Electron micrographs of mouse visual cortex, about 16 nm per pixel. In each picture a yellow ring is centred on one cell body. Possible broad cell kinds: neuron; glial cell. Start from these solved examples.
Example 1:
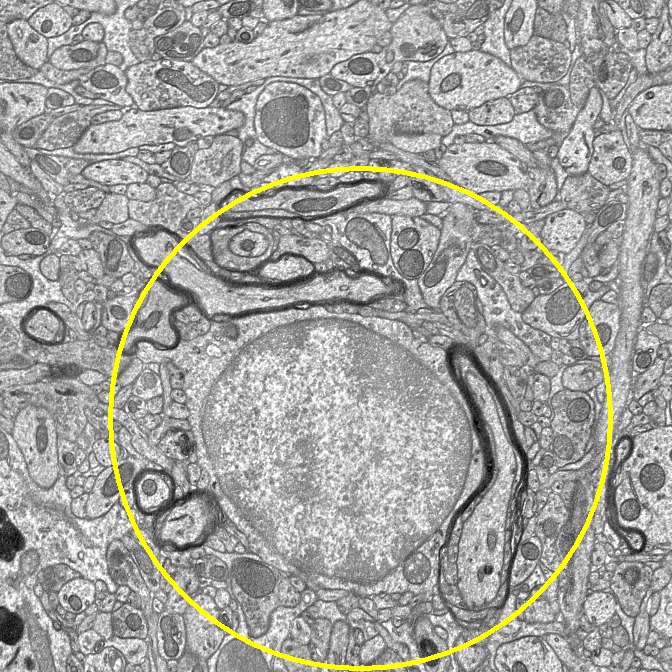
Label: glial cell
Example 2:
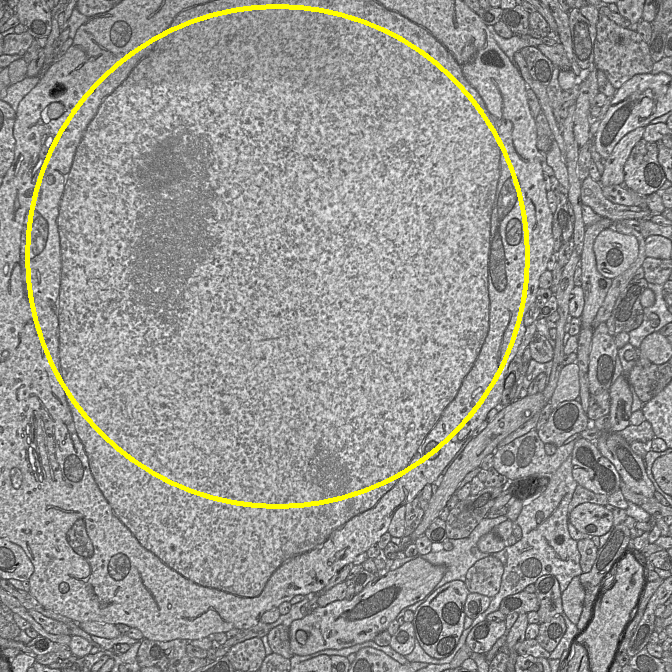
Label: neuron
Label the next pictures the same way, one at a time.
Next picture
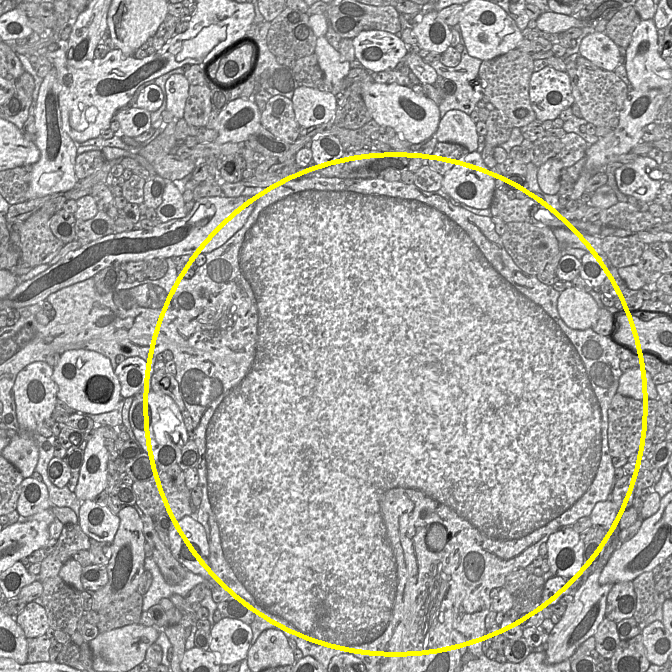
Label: glial cell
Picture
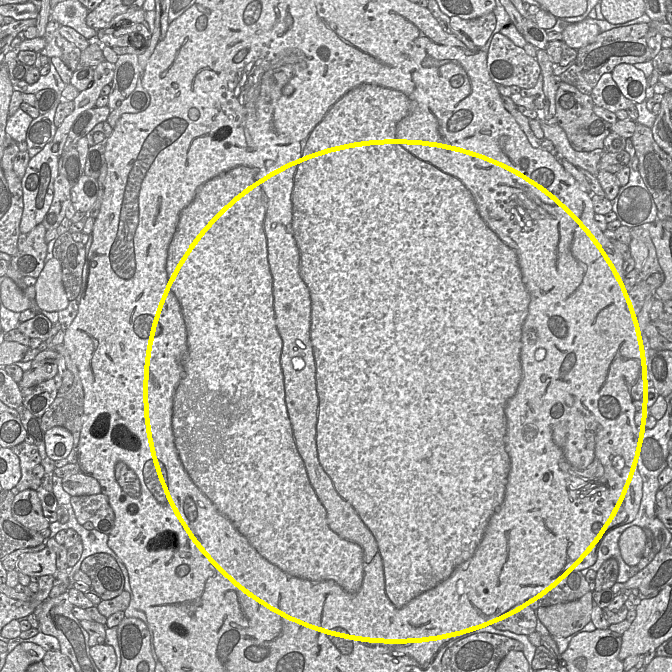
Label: neuron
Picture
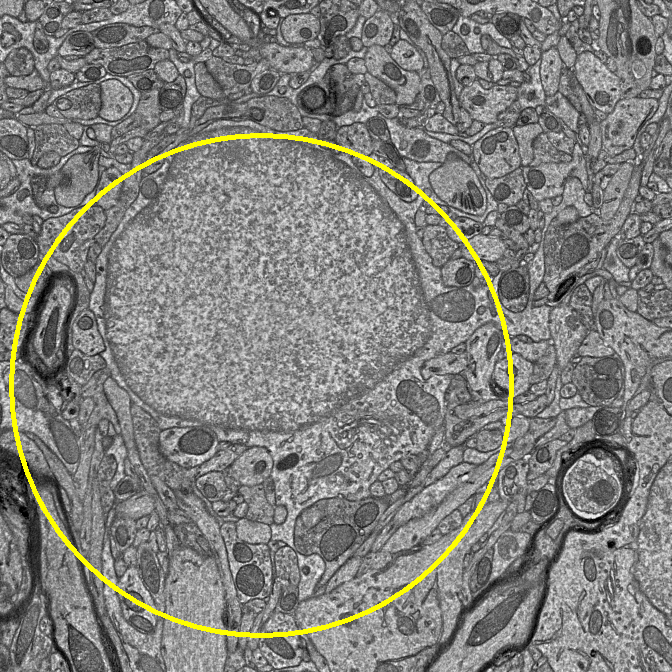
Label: glial cell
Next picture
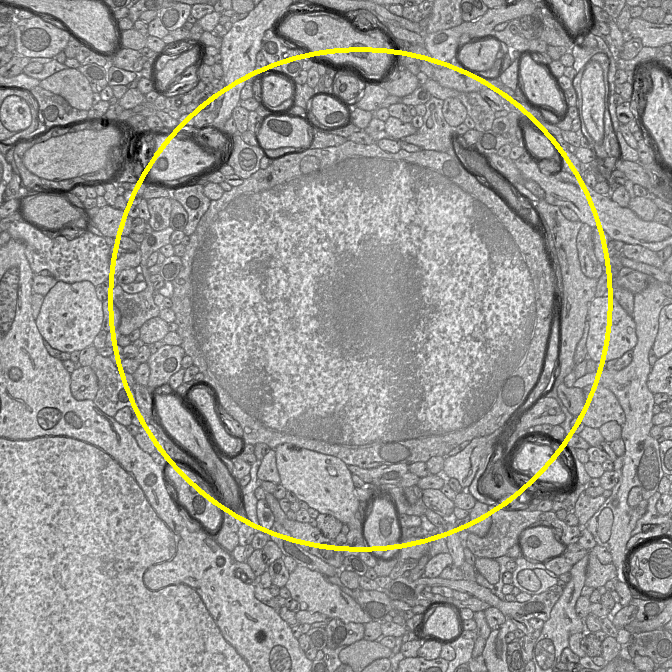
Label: glial cell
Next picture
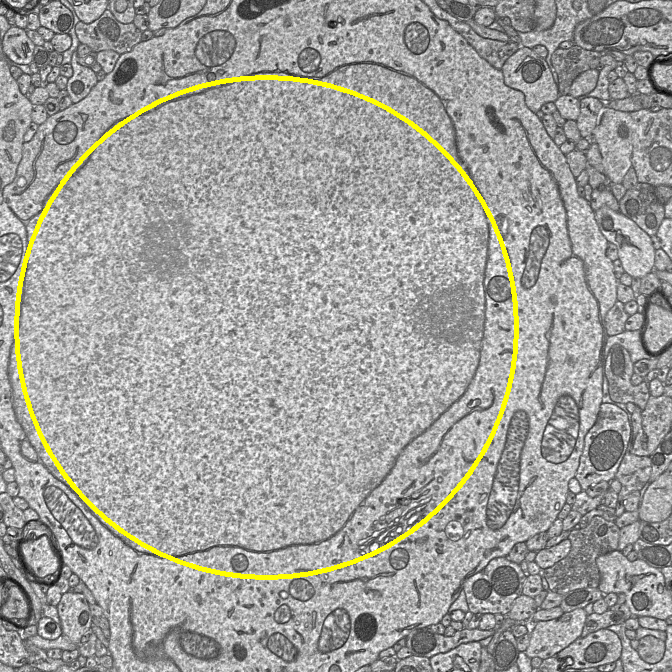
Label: neuron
